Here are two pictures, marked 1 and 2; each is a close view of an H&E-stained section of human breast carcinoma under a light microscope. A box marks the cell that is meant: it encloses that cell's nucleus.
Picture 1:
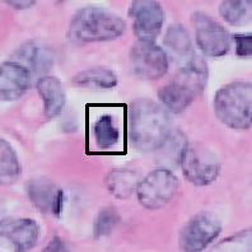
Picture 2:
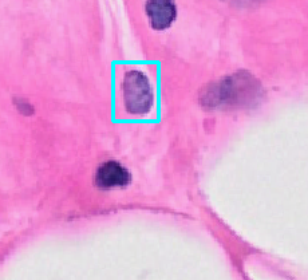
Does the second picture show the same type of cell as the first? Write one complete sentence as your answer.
Yes, both are lymphocytes.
